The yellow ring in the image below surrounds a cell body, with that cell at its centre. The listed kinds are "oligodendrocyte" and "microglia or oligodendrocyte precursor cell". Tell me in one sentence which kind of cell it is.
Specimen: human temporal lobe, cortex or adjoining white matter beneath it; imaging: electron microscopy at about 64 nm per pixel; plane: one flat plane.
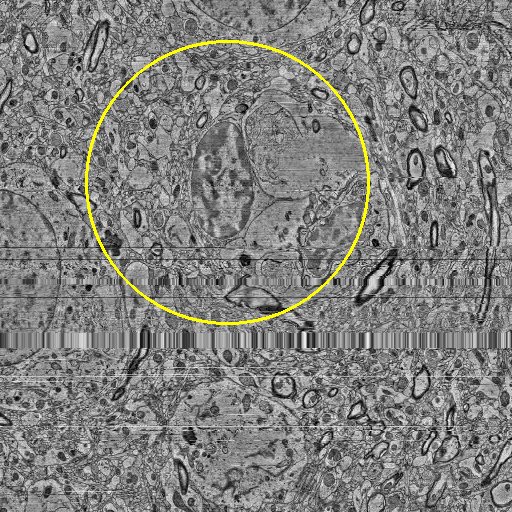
The centre of the ring holds a microglial cell or oligodendrocyte precursor cell.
